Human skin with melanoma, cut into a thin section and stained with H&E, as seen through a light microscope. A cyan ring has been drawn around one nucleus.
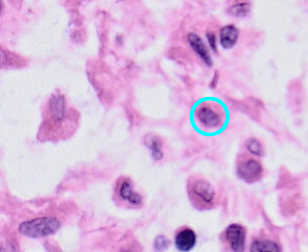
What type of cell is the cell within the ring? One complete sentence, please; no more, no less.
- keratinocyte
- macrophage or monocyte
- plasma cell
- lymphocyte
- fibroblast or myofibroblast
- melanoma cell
As to its cell type, the cell within the ring is a macrophage or monocyte.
